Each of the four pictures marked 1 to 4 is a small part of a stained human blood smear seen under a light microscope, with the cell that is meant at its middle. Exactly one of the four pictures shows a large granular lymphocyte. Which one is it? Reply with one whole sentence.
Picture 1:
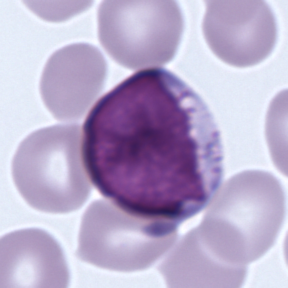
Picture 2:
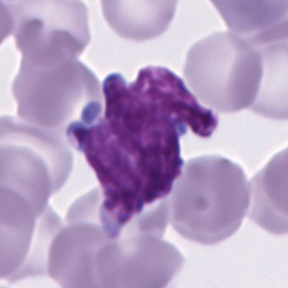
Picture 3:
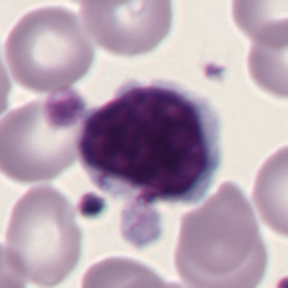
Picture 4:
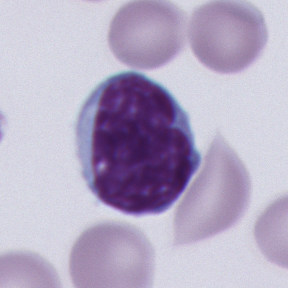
It is picture 1 that shows the large granular lymphocyte.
